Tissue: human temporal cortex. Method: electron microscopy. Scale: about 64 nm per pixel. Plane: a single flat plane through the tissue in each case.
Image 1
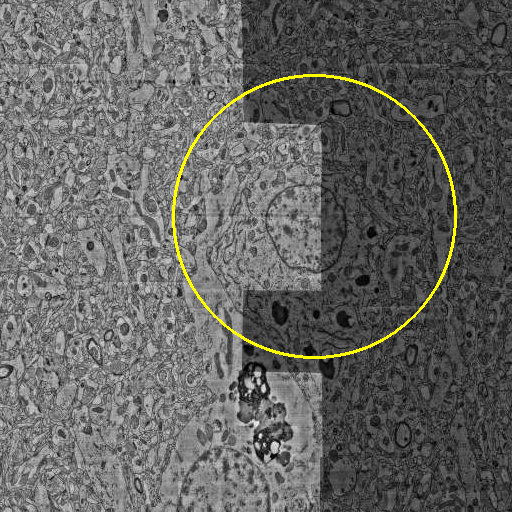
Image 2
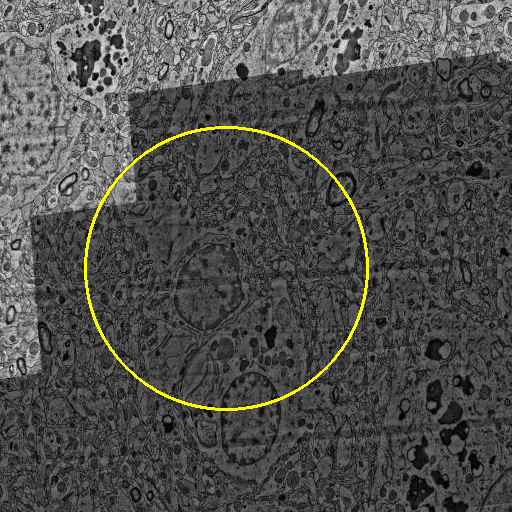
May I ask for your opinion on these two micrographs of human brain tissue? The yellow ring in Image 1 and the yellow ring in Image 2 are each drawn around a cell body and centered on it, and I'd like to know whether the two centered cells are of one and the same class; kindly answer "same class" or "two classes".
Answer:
two classes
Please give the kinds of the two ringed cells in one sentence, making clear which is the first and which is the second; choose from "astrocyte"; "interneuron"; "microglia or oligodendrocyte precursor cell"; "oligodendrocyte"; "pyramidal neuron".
In the second picture the ringed cell is a microglial cell or oligodendrocyte precursor cell; in the first it is a pyramidal neuron.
